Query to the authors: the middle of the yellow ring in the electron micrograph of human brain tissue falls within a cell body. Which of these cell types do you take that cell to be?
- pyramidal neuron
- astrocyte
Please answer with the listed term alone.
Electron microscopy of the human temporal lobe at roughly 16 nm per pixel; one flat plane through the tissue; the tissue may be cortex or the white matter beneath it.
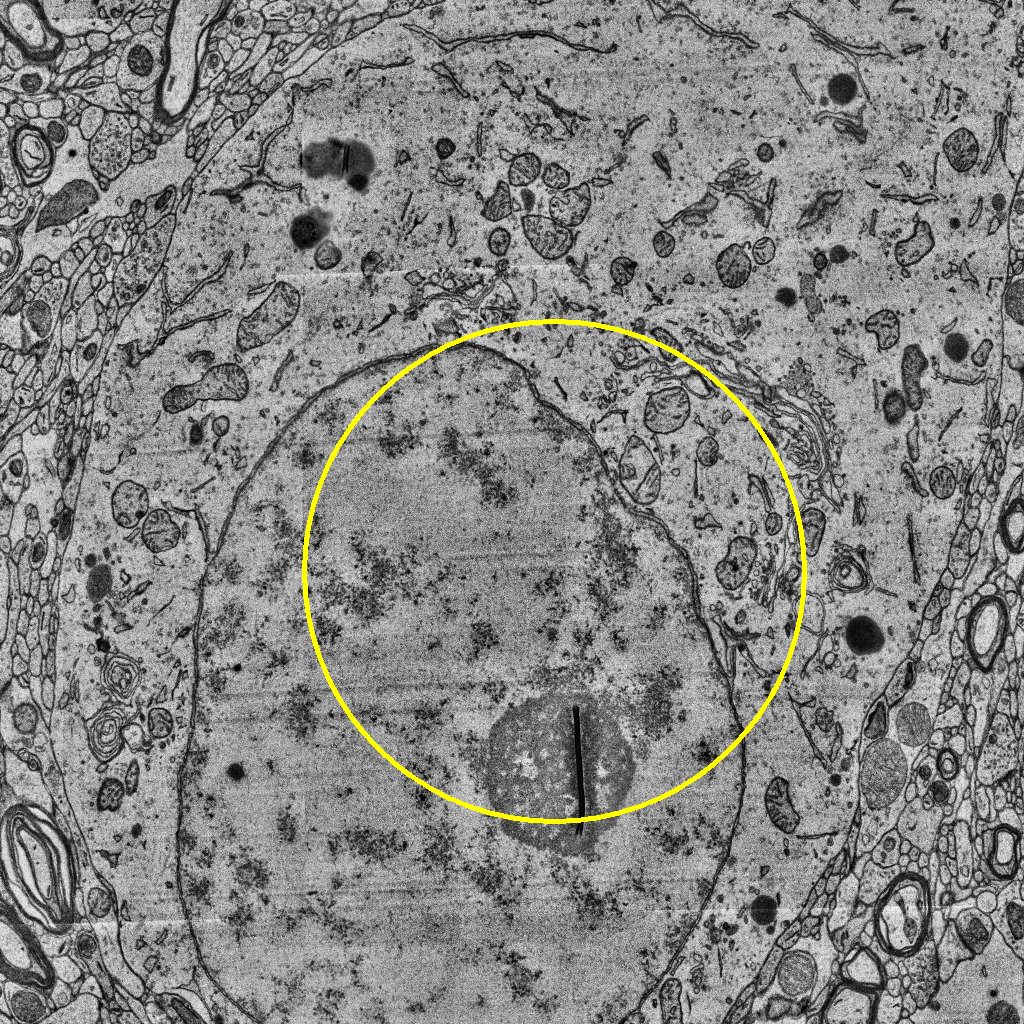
pyramidal neuron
